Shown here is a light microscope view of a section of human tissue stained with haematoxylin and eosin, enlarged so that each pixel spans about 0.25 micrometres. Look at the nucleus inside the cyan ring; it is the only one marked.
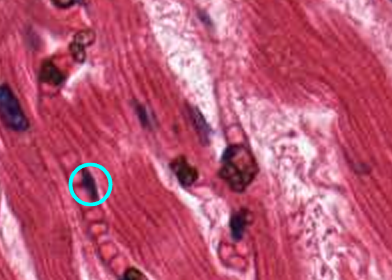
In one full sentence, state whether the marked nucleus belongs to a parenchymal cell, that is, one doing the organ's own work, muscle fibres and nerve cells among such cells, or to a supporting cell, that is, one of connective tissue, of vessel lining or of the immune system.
The marked nucleus lies in a supporting cell.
